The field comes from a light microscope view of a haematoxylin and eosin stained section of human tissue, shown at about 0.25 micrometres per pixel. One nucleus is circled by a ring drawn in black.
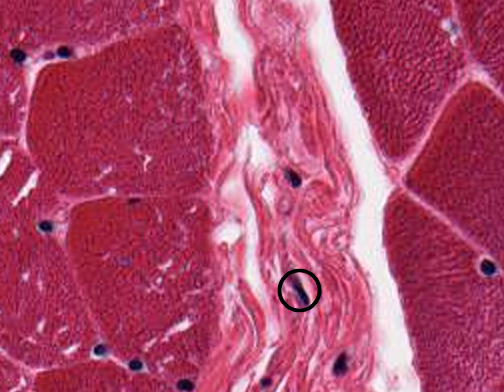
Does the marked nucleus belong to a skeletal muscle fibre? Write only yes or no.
no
